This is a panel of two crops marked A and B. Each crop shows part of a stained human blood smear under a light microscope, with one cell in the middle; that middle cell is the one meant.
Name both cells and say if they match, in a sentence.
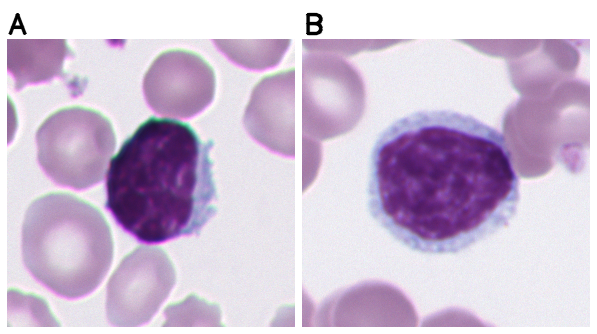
Yes, what both crops show is typical lymphocytes.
